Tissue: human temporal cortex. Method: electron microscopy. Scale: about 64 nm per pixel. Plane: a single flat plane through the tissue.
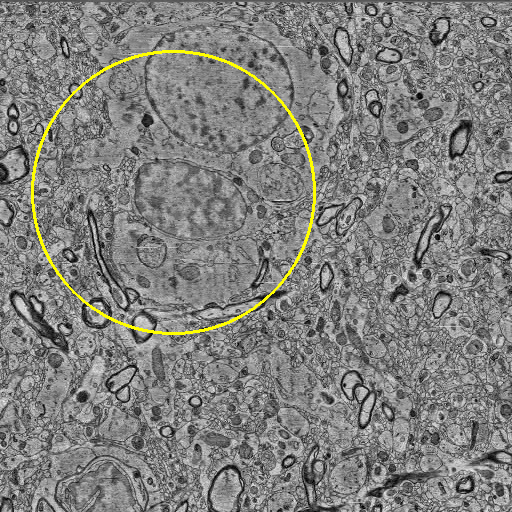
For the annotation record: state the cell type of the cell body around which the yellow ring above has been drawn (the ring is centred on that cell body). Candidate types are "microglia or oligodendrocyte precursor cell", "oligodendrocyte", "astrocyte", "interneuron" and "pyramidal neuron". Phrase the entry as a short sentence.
The ringed cell is an oligodendrocyte.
